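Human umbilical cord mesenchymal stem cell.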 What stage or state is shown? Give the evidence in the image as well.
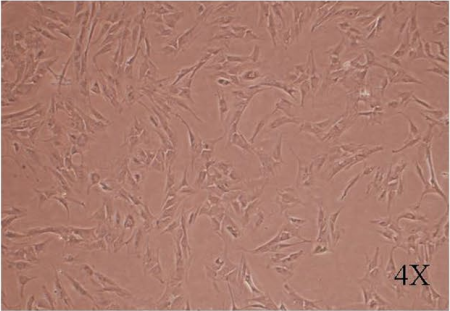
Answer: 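Cells are elongated and spindle-shaped. Cells lie flat and scattered on the dish surface with tapering processes. So: fibroblast-like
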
